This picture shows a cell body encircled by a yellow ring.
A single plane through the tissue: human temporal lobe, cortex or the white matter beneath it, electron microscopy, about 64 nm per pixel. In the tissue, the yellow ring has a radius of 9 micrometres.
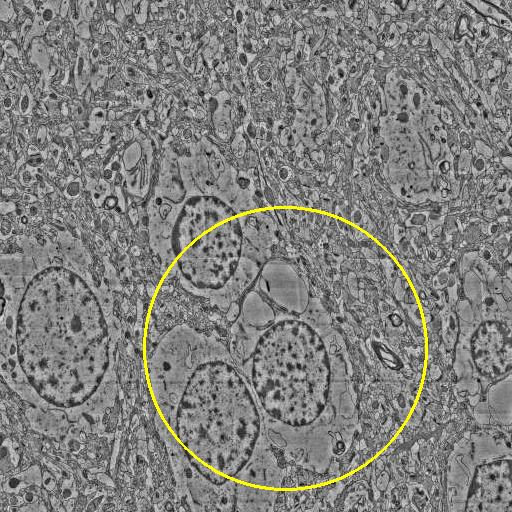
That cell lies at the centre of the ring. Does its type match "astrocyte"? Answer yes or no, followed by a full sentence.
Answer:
Yes, in the picture, the ring surrounds a cell of that type at its centre.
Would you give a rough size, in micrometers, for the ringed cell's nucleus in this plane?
The nucleus works out at approximately 7 by 5 micrometres in this plane.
